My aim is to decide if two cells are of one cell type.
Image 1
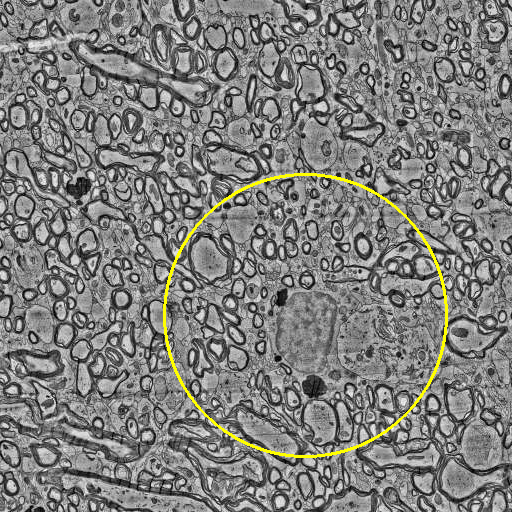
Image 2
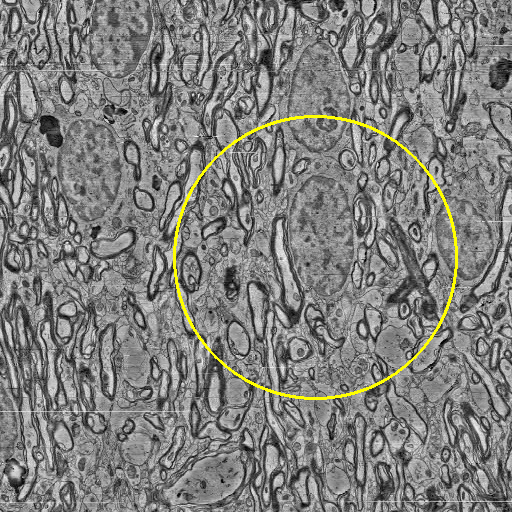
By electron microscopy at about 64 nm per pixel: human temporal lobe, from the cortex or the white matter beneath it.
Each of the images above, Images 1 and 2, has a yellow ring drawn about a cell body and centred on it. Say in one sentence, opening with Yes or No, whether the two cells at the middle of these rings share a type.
Yes, in Images 1 and 2 the cells at the middle of the rings share one type.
